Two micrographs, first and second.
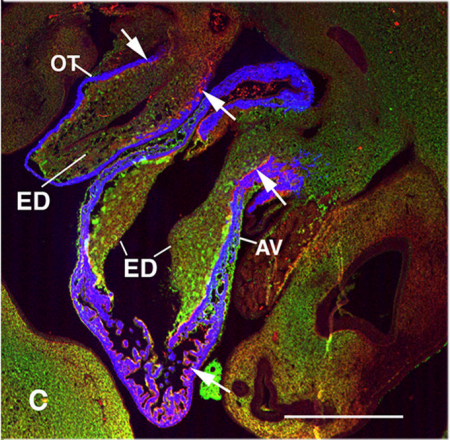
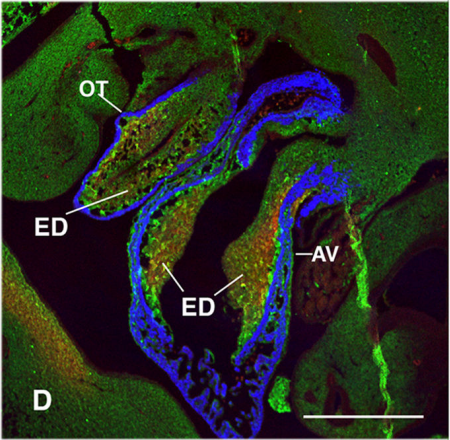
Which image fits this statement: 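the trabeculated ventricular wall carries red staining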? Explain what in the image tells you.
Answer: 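Second image: the trabeculated ventricular wall is blue with little red. First image: the trabeculated ventricular wall at the bottom appears purple-red. So: the first image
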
